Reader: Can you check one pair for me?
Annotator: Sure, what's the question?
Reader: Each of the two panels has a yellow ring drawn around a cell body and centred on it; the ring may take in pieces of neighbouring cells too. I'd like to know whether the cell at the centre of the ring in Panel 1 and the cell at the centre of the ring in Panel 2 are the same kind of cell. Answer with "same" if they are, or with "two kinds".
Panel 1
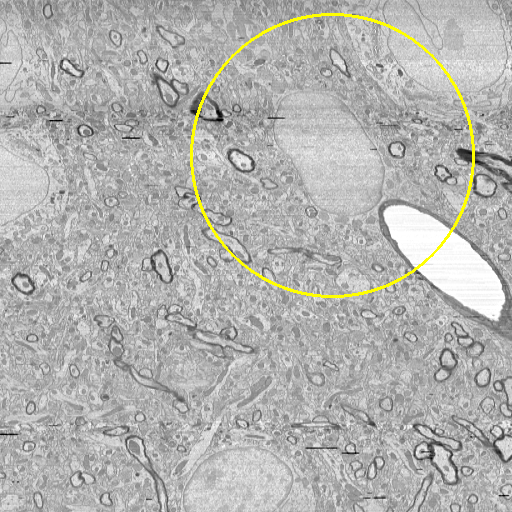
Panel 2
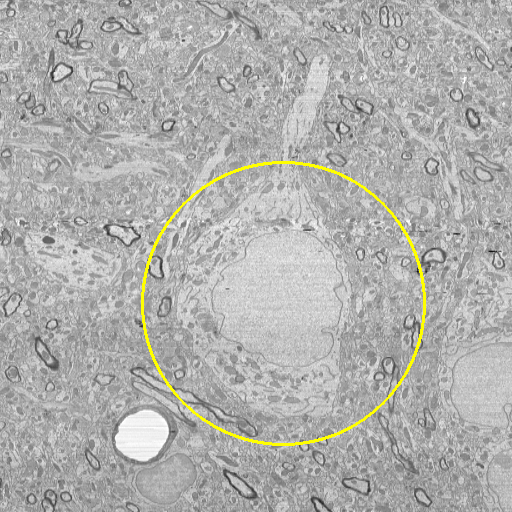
two kinds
